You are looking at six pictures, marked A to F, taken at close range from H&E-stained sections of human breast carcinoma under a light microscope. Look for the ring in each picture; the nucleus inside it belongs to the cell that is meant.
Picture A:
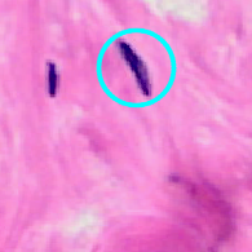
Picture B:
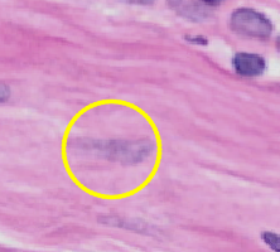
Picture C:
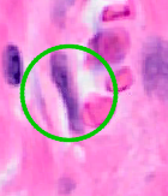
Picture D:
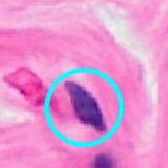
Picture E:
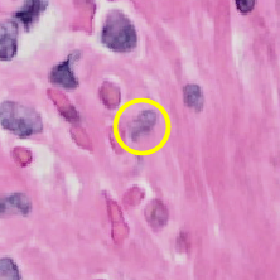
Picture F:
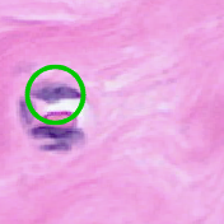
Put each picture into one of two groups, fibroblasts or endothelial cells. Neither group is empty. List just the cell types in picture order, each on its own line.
fibroblast
fibroblast
endothelial cell
endothelial cell
endothelial cell
endothelial cell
